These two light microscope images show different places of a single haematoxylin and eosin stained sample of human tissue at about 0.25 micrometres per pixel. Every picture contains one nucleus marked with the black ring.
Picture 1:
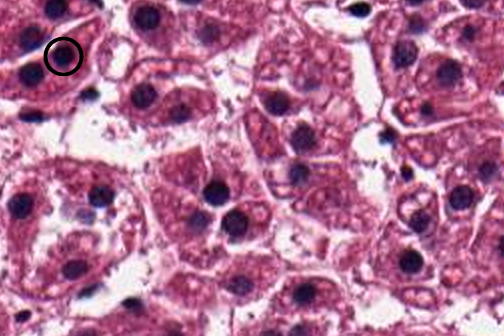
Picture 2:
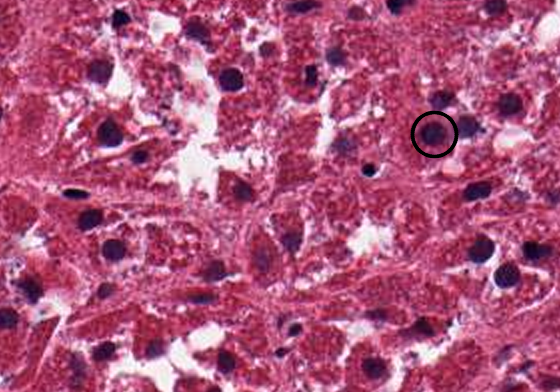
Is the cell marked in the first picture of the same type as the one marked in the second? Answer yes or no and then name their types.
Yes, both are adrenal cortical cells.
